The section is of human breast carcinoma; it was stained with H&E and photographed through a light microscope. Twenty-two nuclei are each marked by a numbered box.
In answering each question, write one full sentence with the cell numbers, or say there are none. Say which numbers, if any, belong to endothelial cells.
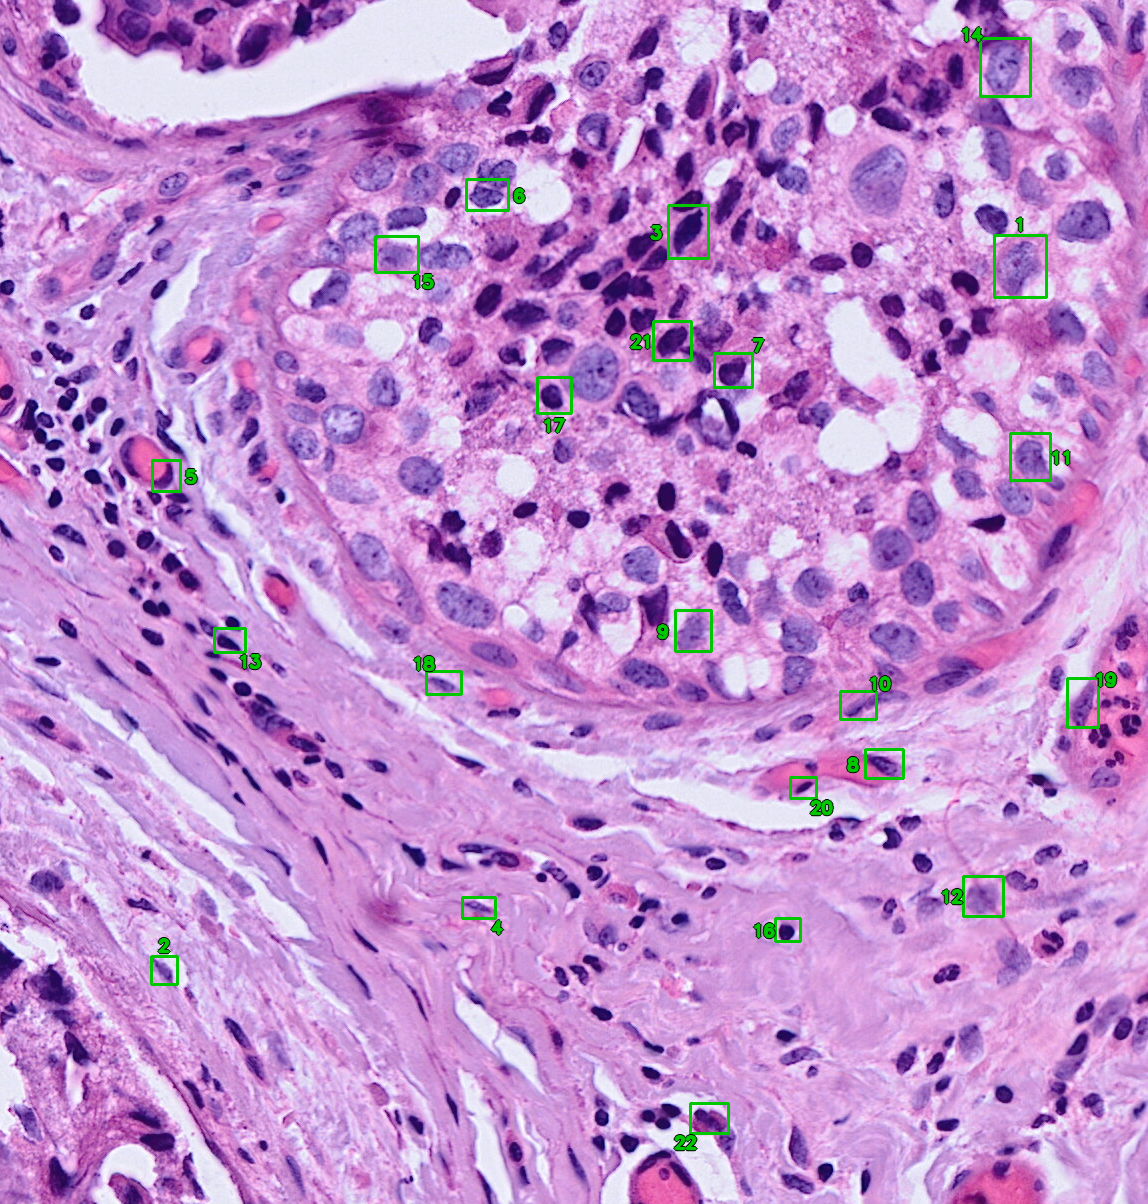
Cells 5, 8, 10, 19 and 20 are endothelial cells by cell type.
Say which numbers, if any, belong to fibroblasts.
Regarding the numbered cells 2, 4, 12 and 18, these are fibroblasts.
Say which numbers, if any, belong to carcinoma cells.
The cells identified by the numbers 1, 3, 6, 7, 9, 11, 14, 15, 17 and 21 are carcinoma cells.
